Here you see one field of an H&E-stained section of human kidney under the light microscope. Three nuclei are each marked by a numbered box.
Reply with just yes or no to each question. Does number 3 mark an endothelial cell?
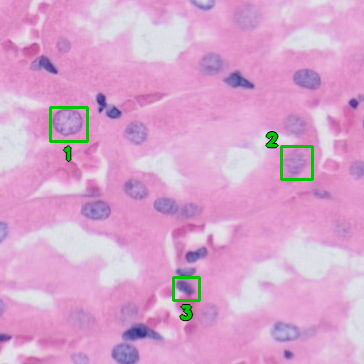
yes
